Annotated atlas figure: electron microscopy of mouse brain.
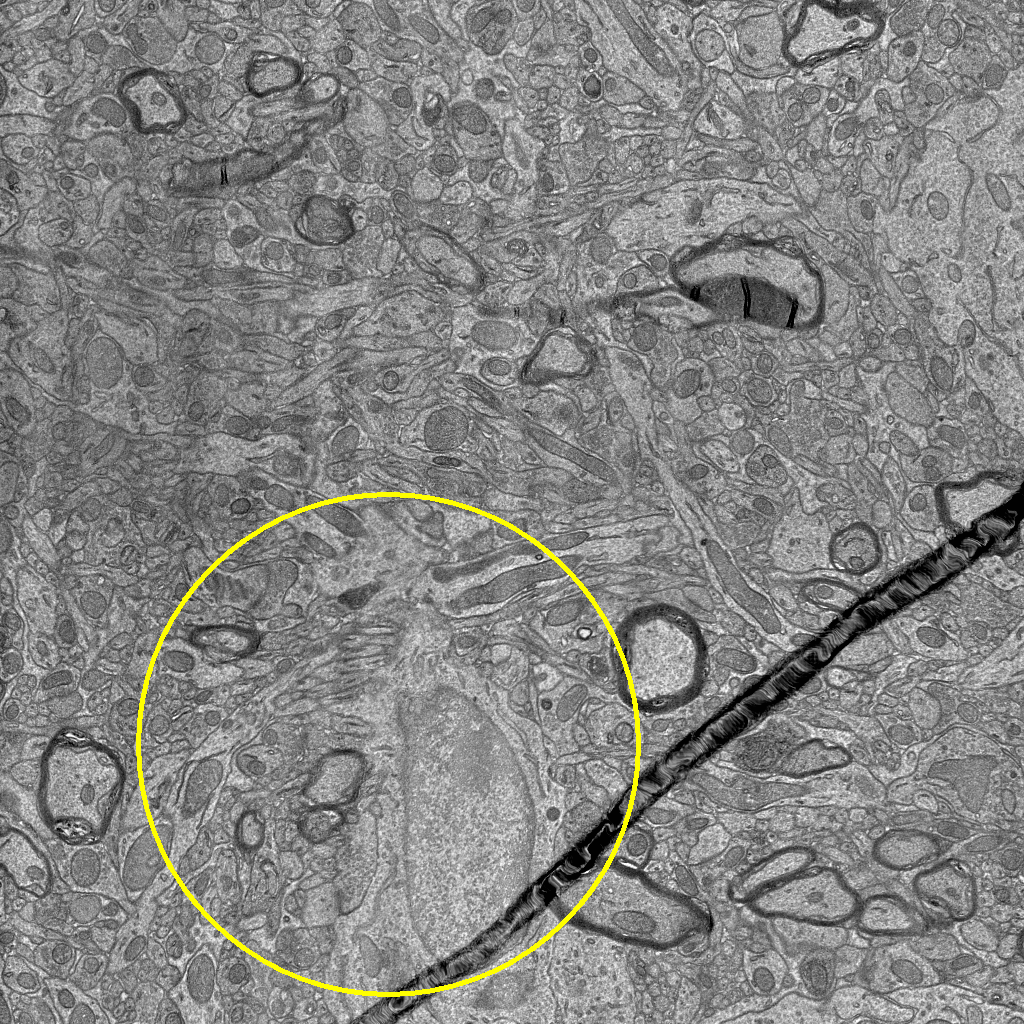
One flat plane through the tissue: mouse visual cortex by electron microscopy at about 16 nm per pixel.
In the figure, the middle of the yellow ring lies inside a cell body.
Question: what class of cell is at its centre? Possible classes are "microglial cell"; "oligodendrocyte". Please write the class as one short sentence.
The yellow ring's centre lies in an oligodendrocyte.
